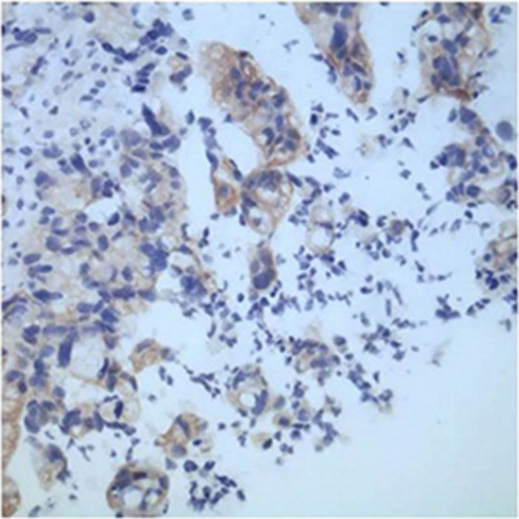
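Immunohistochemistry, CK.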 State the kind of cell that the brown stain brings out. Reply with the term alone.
Neoplastic cells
